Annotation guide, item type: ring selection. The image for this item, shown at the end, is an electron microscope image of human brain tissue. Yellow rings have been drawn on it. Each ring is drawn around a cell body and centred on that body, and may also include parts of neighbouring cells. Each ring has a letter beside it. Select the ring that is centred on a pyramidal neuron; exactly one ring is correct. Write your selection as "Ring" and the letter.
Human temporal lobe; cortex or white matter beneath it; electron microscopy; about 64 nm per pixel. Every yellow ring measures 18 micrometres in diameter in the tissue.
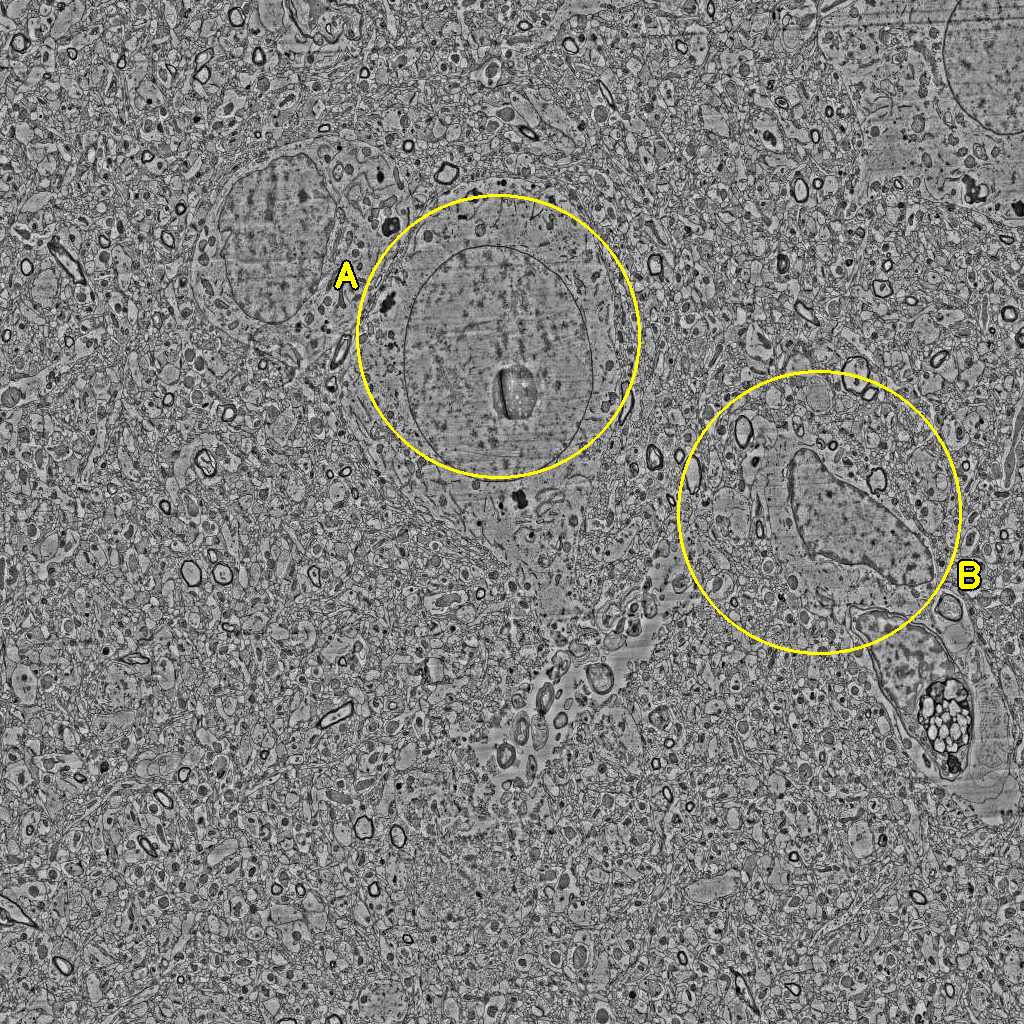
Ring A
